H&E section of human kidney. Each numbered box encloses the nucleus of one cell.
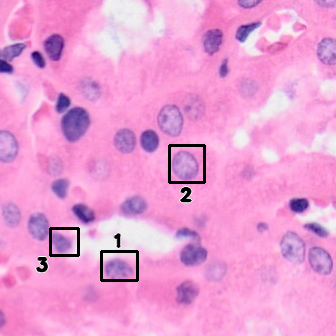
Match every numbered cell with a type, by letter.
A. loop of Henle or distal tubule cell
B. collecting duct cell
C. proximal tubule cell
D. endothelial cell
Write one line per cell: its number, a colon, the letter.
1: A
2: C
3: A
